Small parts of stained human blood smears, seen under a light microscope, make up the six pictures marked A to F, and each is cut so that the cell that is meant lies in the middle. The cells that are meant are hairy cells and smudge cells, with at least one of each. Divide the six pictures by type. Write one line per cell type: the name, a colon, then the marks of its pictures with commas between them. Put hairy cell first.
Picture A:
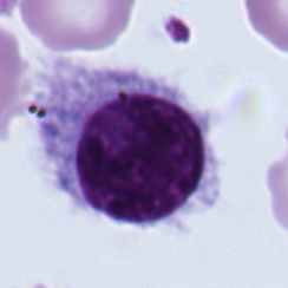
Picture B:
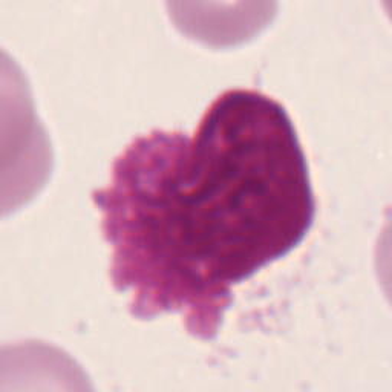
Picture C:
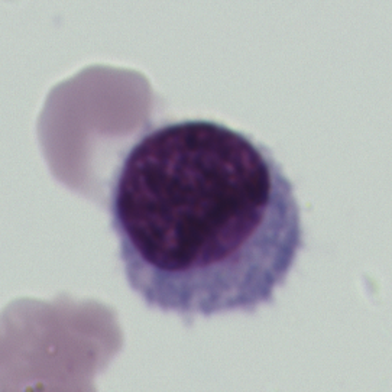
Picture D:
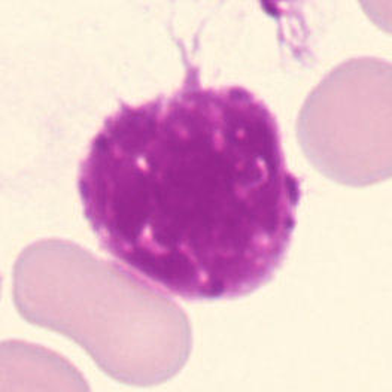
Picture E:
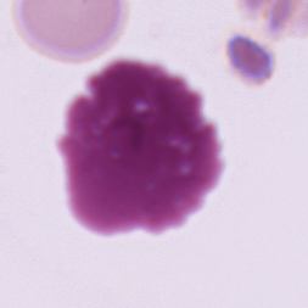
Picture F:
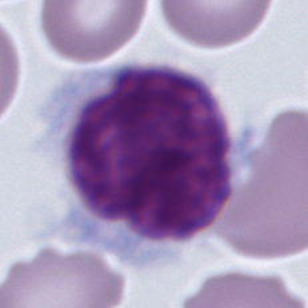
hairy cell: A, C, F
smudge cell: B, D, E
